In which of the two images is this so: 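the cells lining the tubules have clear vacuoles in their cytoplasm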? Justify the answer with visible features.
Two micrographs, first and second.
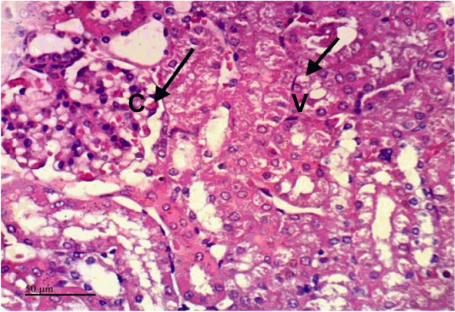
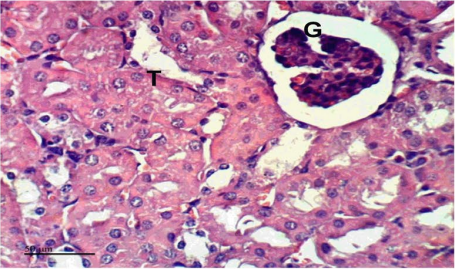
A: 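First image: many tubular cells show pale, clear vacuolated cytoplasm. So: the first image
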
